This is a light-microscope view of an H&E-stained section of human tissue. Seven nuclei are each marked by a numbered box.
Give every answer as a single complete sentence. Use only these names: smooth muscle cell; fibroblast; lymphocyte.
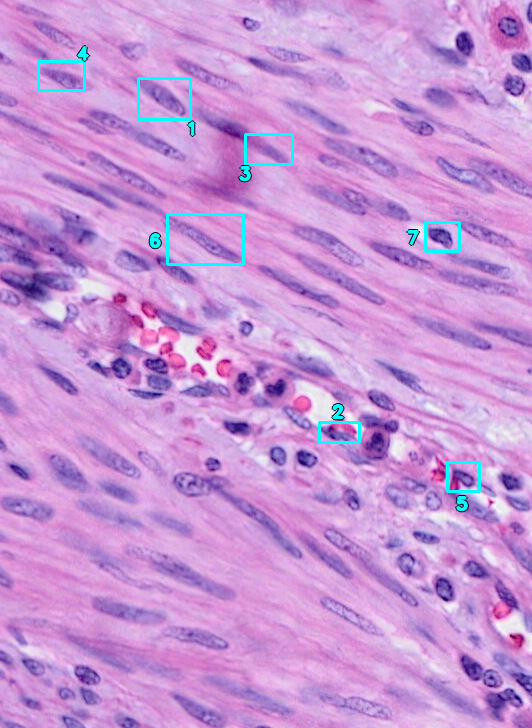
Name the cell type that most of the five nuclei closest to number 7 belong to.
Most of the five nuclei nearest to number 7 are those of smooth muscle cells.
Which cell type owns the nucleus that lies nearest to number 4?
It is a smooth muscle cell whose nucleus is nearest to number 4.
